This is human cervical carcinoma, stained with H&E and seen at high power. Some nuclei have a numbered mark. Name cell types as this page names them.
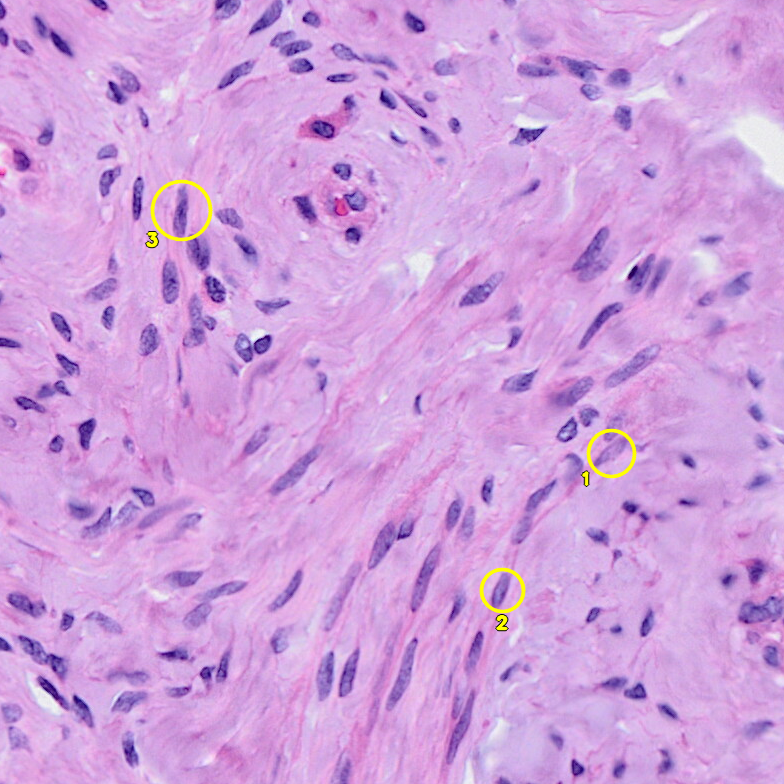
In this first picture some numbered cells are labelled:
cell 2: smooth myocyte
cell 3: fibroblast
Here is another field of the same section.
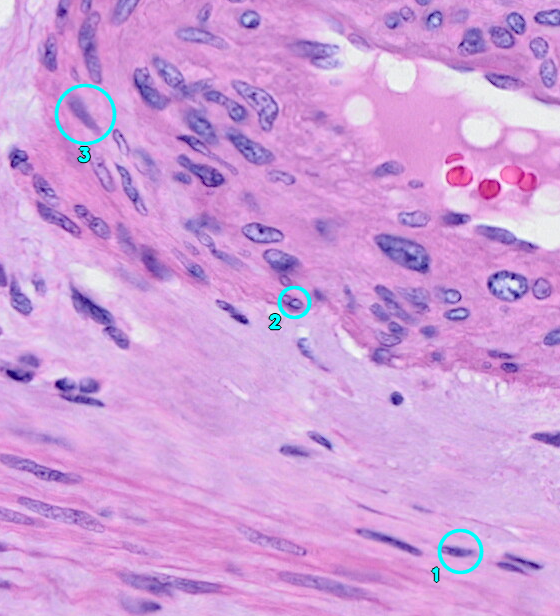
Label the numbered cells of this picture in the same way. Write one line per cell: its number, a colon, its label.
1: fibroblast
2: smooth myocyte
3: smooth myocyte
